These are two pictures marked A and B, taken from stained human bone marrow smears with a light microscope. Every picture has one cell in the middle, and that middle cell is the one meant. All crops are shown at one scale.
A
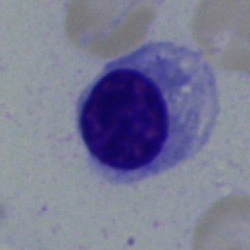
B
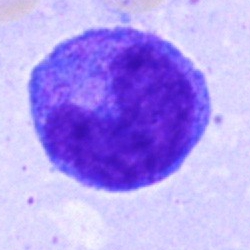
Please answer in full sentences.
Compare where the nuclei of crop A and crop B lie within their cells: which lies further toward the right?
It is the nucleus in crop B that lies further toward the right of its cell.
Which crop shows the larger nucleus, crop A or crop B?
It is the nucleus in crop B, about 2 times as large in area as the one in crop A.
